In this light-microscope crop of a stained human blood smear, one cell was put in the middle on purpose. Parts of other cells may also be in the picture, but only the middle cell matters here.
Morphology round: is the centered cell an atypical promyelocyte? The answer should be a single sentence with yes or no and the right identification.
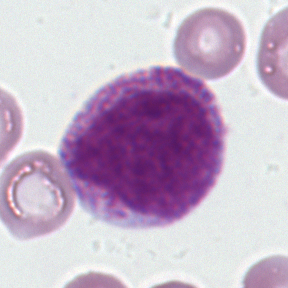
No, the cell at the centre of the crop corresponds to a myelocyte, not an atypical promyelocyte.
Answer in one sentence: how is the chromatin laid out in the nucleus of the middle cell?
Its chromatin is finely dispersed rather than coarsely clumped.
